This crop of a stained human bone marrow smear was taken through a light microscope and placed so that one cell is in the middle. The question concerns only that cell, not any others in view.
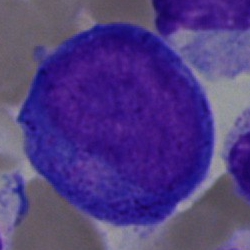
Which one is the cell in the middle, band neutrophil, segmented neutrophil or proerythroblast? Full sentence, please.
The cell nearest the centre of this crop is a proerythroblast.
